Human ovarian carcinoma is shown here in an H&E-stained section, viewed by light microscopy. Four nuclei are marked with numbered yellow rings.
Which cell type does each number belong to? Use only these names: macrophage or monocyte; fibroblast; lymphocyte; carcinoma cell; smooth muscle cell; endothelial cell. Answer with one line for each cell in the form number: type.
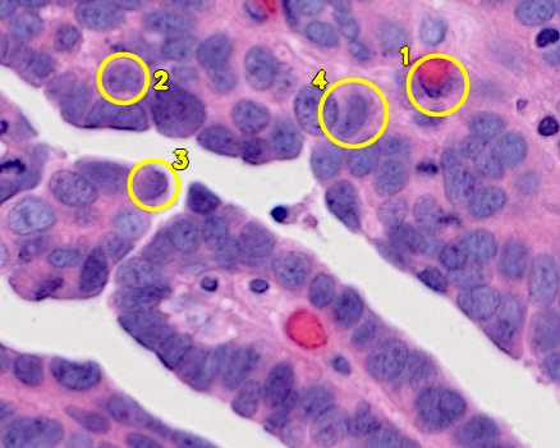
1: endothelial cell
2: carcinoma cell
3: carcinoma cell
4: carcinoma cell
